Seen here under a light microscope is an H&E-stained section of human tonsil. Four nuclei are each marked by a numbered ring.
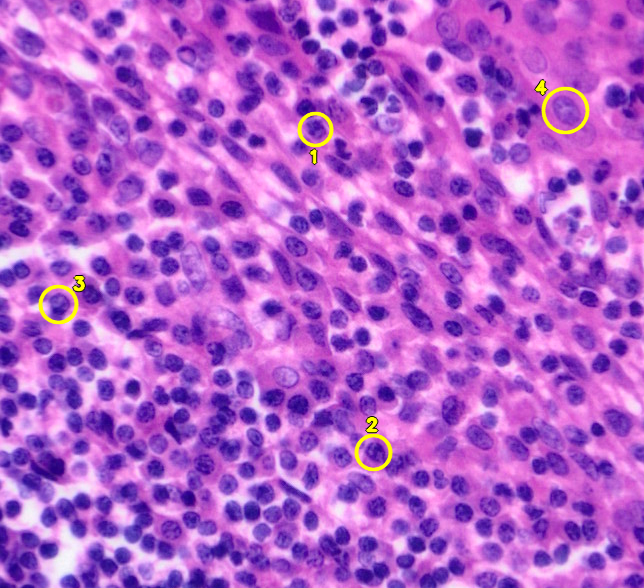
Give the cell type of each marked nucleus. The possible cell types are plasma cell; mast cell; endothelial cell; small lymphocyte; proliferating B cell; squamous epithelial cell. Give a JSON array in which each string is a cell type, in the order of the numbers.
["plasma cell", "plasma cell", "plasma cell", "squamous epithelial cell"]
